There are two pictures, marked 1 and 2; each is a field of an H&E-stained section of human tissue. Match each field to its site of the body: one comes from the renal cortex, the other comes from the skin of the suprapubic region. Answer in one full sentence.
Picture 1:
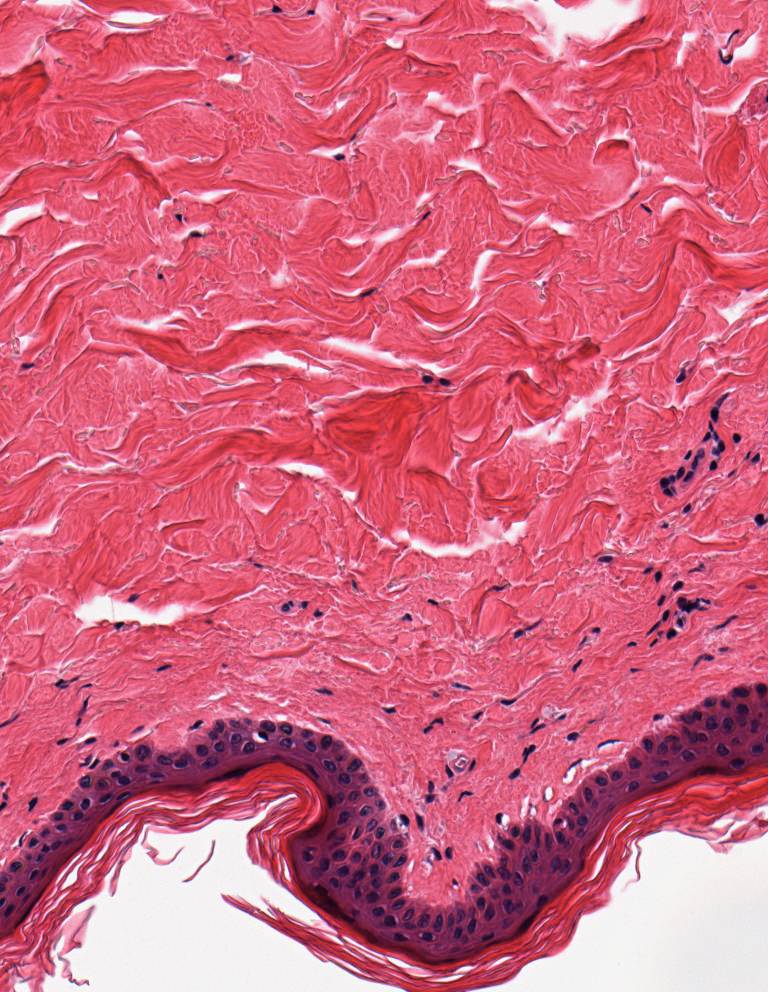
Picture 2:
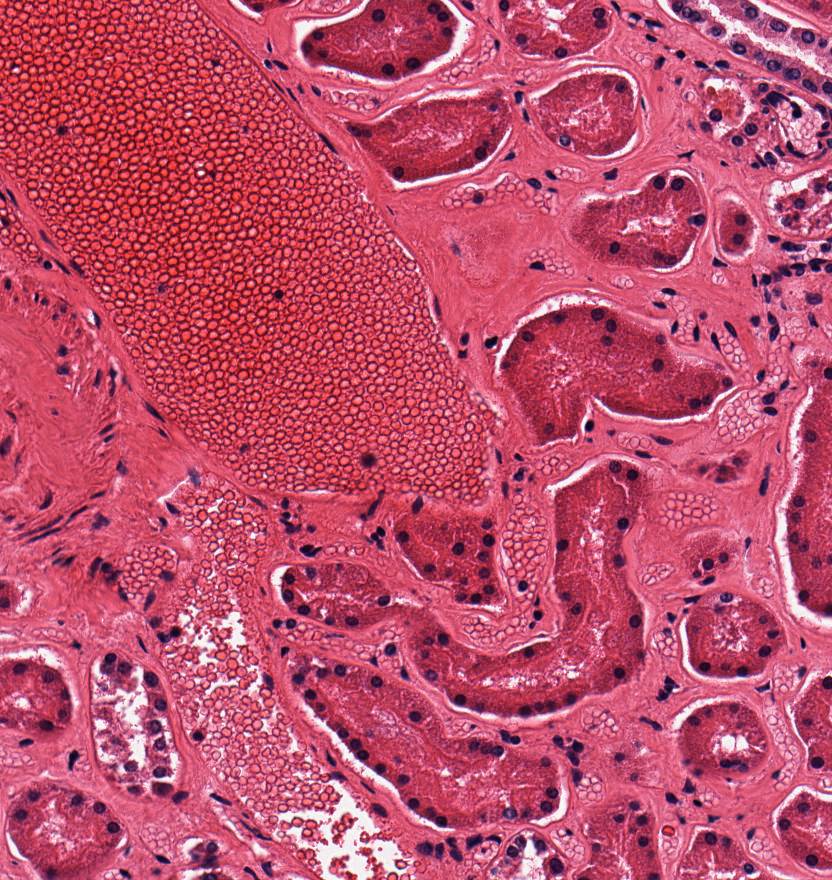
Picture 1 comes from the skin of the suprapubic region; picture 2 comes from the renal cortex.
